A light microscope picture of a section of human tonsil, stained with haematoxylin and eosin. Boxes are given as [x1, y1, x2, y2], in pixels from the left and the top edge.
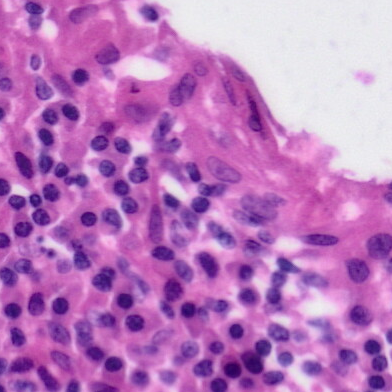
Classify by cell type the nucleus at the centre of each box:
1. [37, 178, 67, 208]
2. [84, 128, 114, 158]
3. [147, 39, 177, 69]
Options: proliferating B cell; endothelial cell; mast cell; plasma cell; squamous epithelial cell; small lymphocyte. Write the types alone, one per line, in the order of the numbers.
plasma cell
plasma cell
squamous epithelial cell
